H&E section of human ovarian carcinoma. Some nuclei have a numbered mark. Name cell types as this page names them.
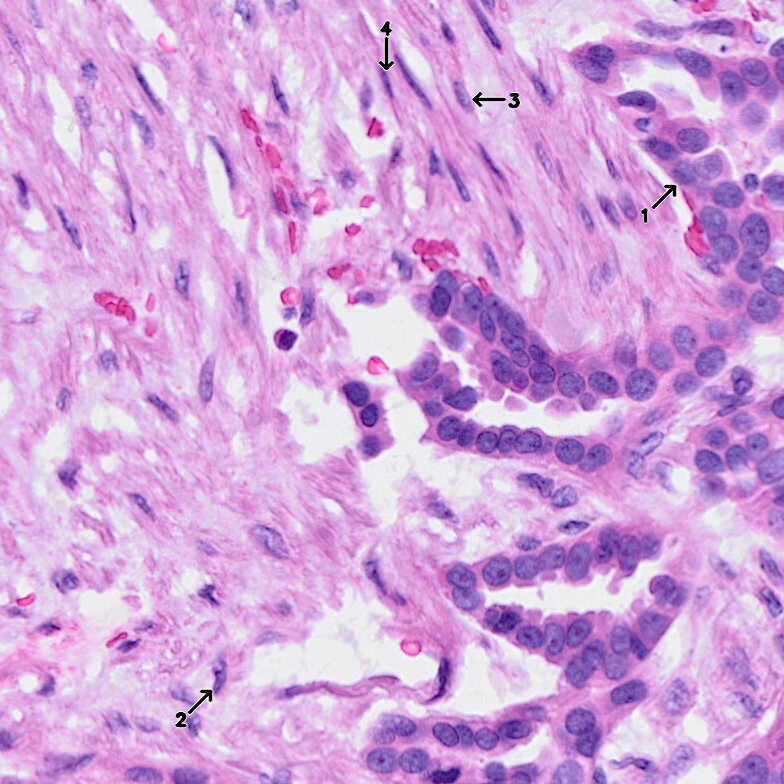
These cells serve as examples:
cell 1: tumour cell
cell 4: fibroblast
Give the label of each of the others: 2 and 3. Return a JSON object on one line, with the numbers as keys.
{"2": "fibroblast", "3": "fibroblast"}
